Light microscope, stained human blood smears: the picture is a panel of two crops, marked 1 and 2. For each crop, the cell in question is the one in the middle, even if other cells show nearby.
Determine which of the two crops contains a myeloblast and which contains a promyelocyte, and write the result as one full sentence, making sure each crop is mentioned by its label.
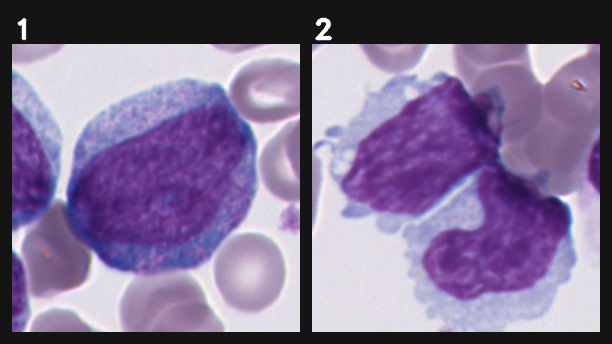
As for the pair, crop 1 is a promyelocyte and crop 2 is a myeloblast.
